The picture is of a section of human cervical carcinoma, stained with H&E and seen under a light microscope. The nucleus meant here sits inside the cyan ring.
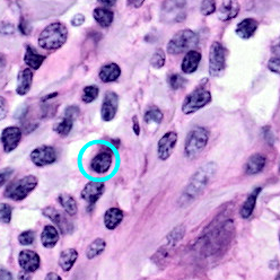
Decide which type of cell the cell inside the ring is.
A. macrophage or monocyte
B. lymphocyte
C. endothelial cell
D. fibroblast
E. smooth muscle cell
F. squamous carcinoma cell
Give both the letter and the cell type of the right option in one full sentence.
Here the cell inside the ring is a lymphocyte, which makes option B correct.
